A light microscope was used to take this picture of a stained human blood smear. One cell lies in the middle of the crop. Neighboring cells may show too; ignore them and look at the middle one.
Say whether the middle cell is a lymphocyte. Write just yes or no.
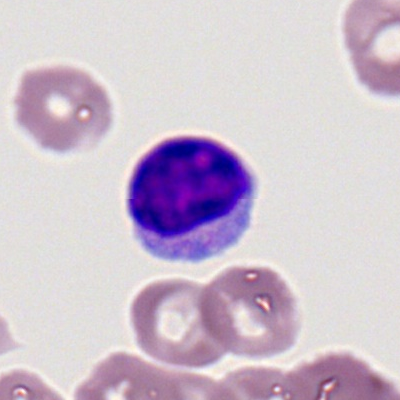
yes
